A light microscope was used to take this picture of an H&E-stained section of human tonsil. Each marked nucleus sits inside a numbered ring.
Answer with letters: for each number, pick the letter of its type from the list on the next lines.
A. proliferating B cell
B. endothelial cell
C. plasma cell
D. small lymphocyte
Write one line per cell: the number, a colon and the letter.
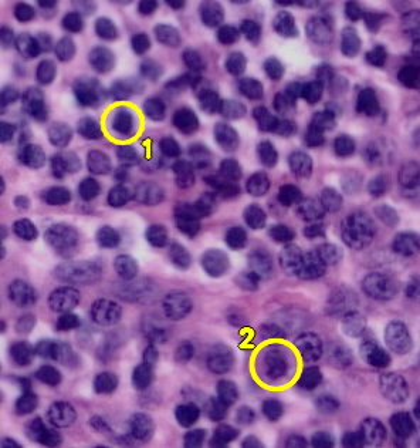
1: D
2: C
